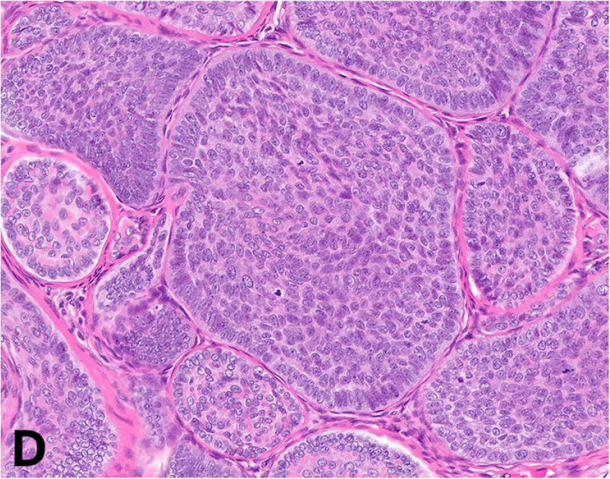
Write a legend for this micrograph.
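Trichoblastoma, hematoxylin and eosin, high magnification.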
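Rounded nests of closely packed basaloid cells fill the field, each cell with an oval, finely speckled purple nucleus and very little pale cytoplasm. The nests are separated by thin bands of pink fibrous stroma carrying a few flattened spindle nuclei. At the edge of several nests the outer cells line up side by side against the stroma.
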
